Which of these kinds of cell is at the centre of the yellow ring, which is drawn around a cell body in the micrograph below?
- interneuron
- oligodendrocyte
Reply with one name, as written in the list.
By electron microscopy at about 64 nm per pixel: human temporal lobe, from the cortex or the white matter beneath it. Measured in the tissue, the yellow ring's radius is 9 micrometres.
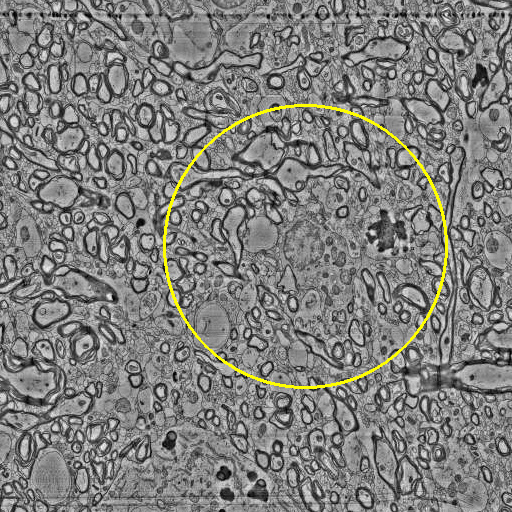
oligodendrocyte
